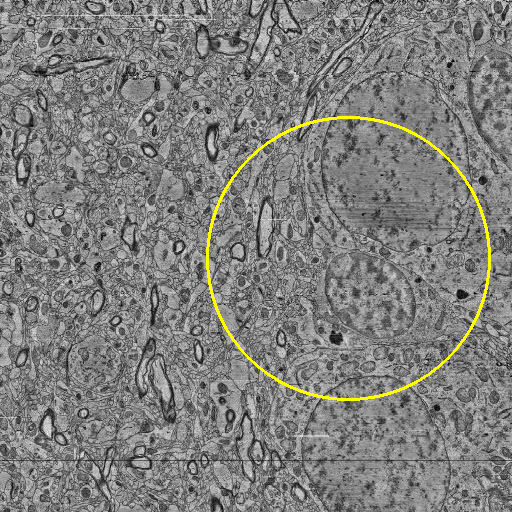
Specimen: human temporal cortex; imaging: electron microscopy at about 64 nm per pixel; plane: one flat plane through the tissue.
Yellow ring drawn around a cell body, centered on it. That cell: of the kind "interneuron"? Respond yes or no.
no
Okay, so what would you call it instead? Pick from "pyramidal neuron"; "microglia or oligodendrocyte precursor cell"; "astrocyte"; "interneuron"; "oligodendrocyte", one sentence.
The cell in the ring is an oligodendrocyte instead.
